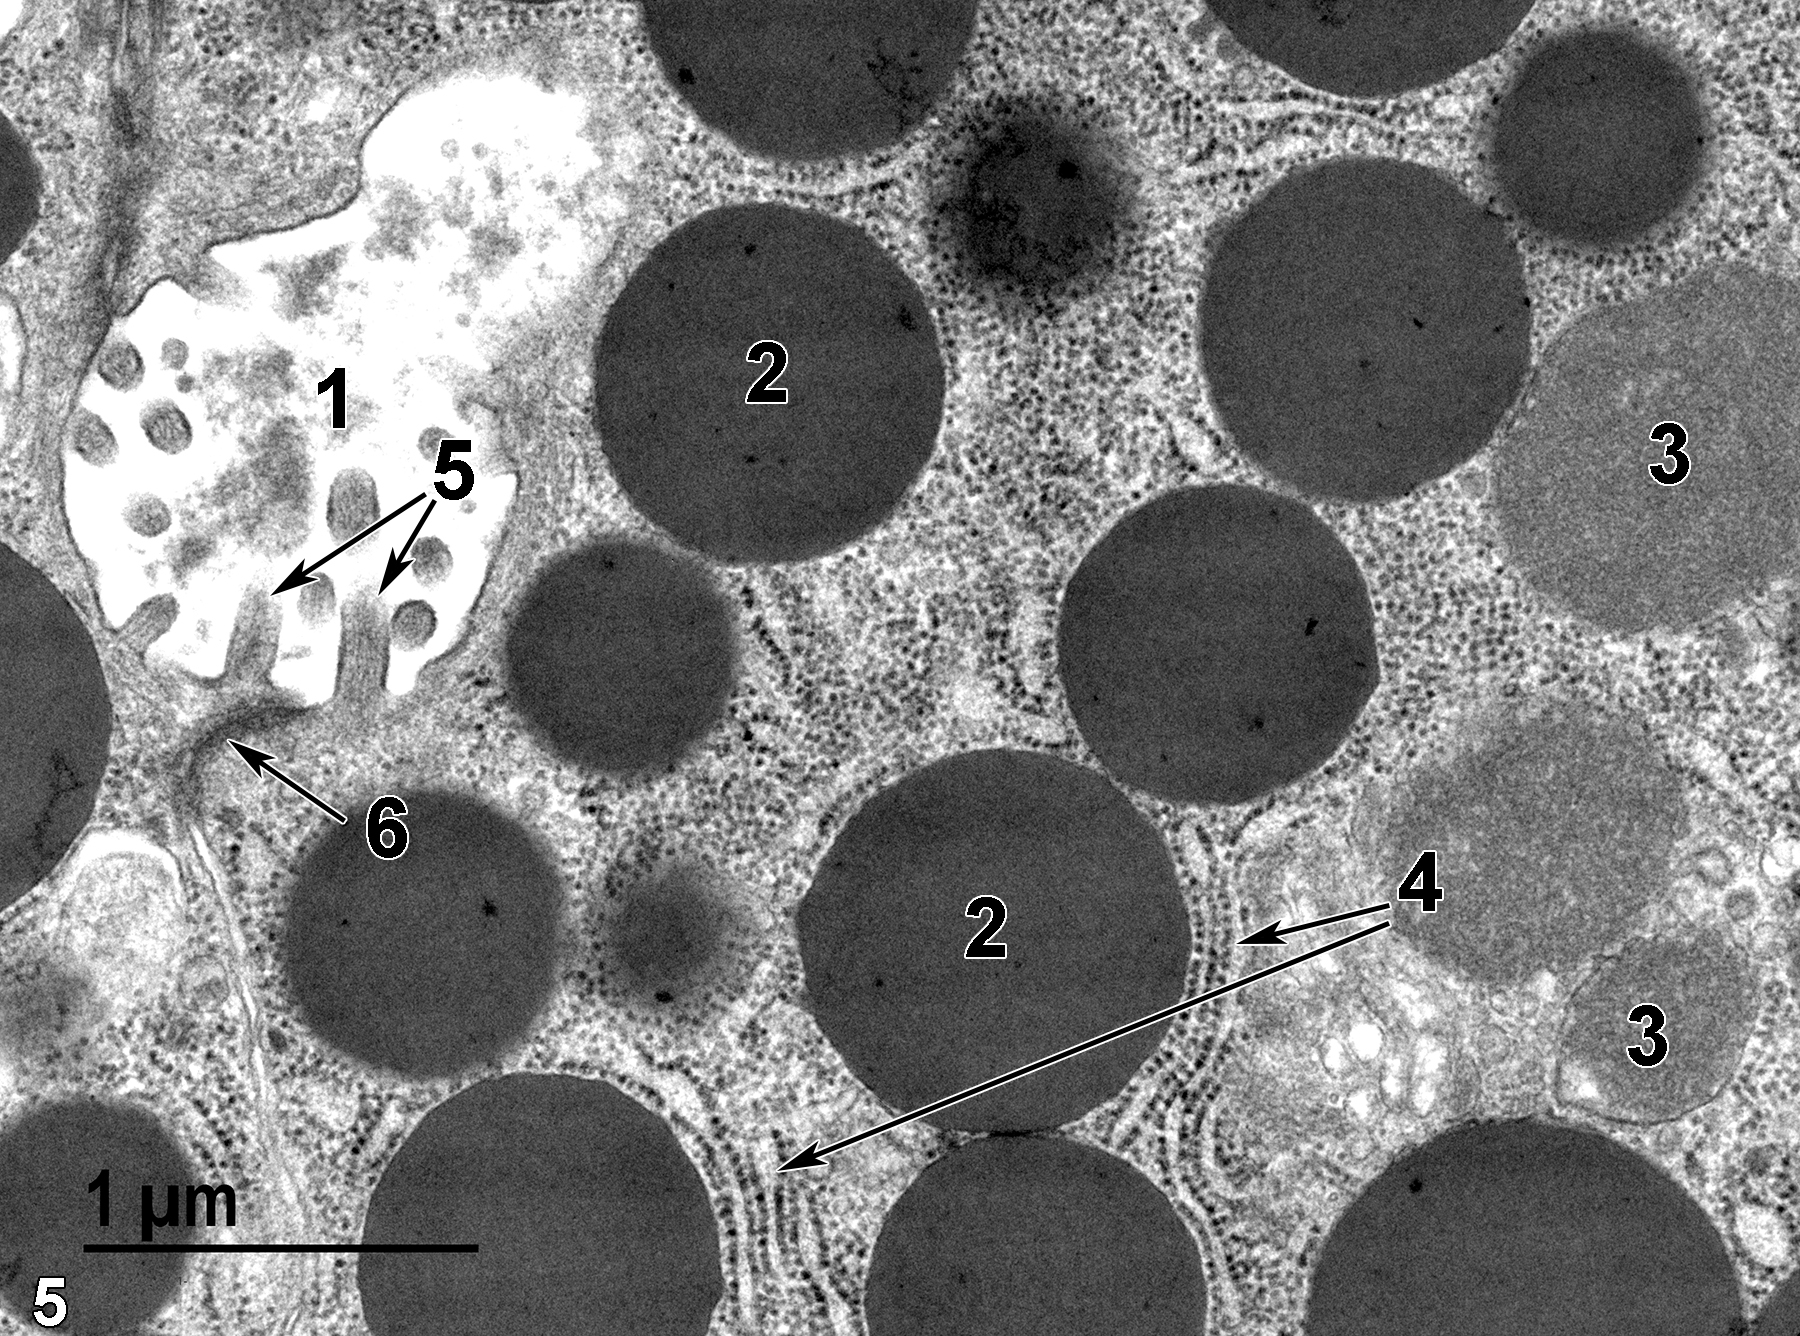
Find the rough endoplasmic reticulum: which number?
The rough endoplasmic reticulum: 4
